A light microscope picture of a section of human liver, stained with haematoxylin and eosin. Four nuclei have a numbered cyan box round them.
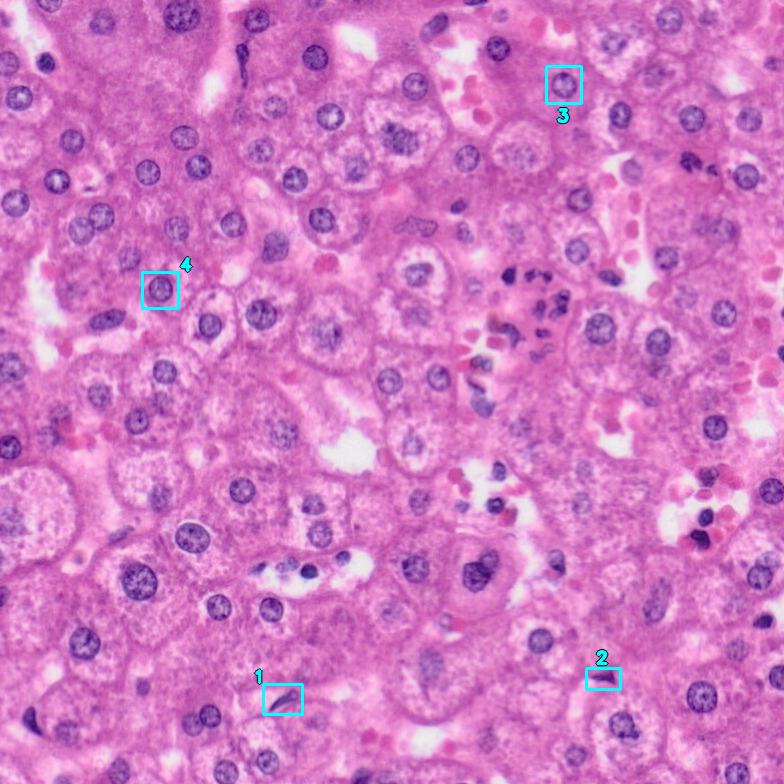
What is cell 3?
hepatocyte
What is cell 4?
hepatocyte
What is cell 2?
endothelial cell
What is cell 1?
endothelial cell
